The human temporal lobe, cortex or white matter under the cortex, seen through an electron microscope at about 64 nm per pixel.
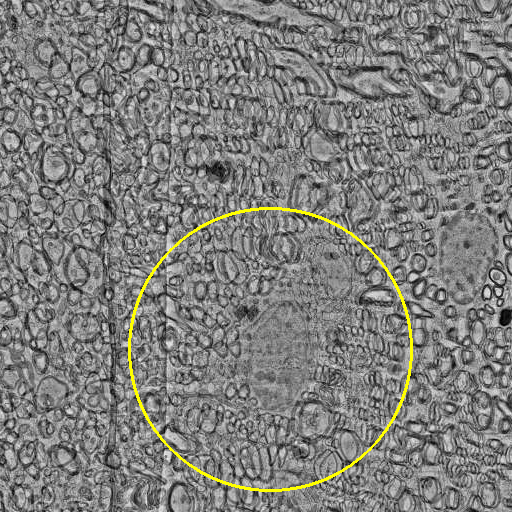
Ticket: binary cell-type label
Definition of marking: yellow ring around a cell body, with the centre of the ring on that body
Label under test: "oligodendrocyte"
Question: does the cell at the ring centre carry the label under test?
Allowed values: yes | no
yes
